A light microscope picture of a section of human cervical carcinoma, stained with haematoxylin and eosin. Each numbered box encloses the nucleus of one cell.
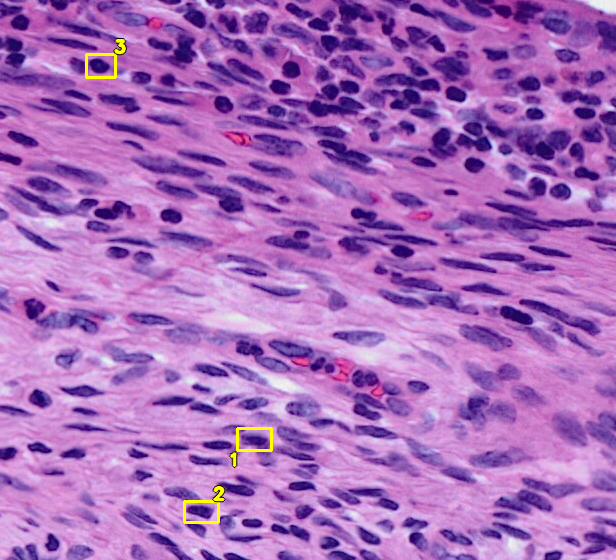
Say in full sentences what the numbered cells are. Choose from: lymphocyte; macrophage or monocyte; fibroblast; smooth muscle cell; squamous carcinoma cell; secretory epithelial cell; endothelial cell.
Cells 1 and 2 are fibroblasts. Cell 3 is a lymphocyte.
